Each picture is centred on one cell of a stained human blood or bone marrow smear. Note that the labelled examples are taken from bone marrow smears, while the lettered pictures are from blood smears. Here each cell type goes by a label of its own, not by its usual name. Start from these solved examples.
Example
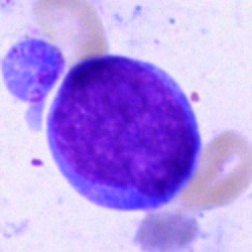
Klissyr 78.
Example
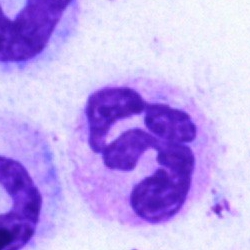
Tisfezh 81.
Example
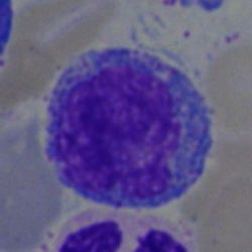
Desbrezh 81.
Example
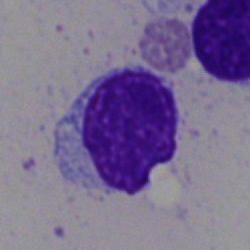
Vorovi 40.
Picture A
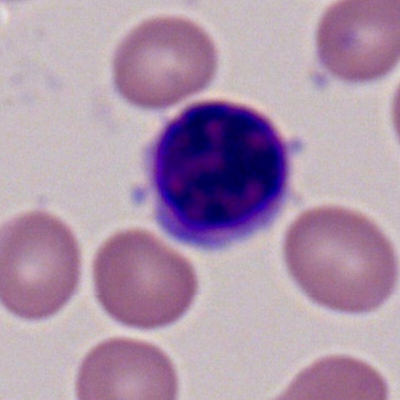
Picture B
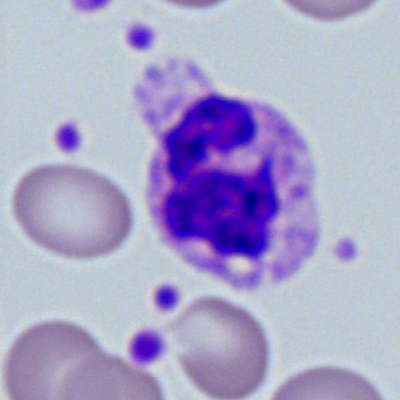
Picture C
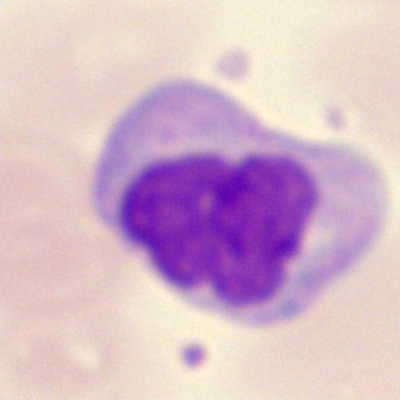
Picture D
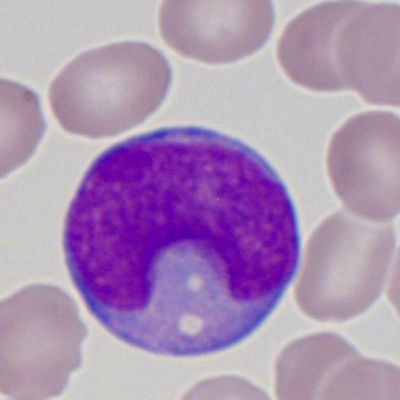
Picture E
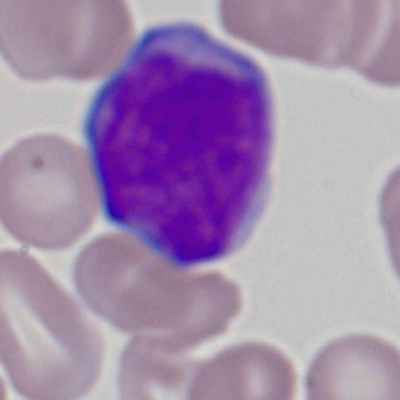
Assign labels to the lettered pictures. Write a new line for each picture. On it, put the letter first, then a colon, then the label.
A: Vorovi 40.
B: Tisfezh 81.
C: Desbrezh 81.
D: Klissyr 78.
E: Klissyr 78.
